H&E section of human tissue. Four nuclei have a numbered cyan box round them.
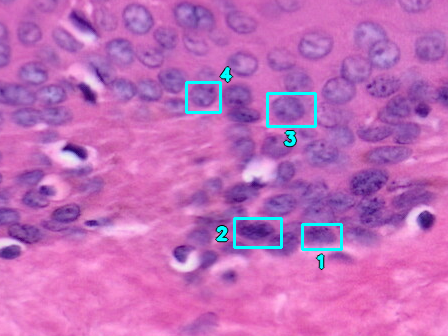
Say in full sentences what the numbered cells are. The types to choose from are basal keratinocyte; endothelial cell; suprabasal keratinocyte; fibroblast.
Cells 1, 2 and 4 are basal keratinocytes. Cell 3 is a suprabasal keratinocyte.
